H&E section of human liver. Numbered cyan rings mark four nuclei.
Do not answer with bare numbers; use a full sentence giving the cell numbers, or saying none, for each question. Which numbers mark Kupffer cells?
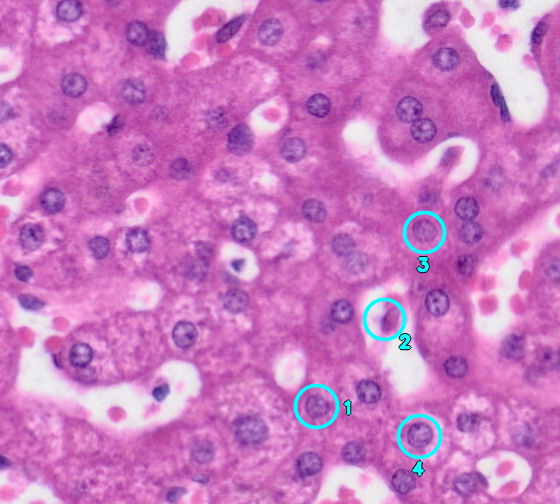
Cell 2 alone, of all the numbered cells, is a Kupffer cell.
